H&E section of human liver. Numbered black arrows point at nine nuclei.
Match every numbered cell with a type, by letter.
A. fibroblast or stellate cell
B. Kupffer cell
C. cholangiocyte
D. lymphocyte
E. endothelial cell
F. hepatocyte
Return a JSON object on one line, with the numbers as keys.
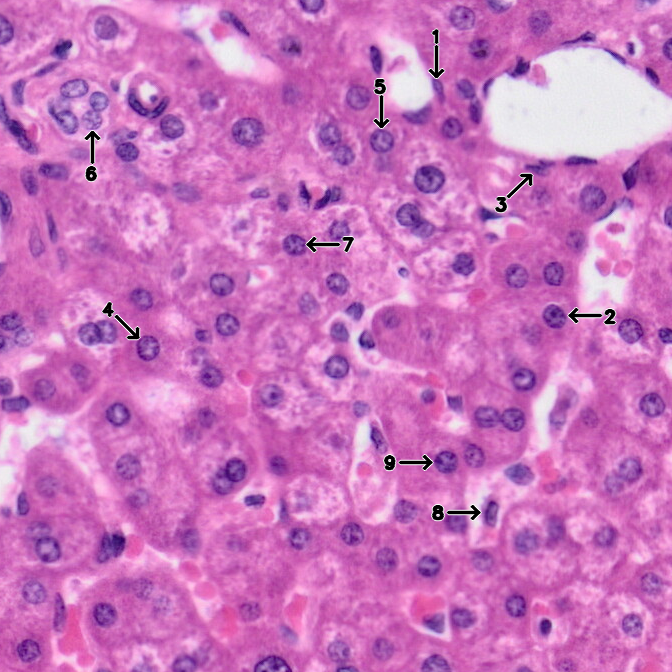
{"1": "A", "2": "F", "3": "A", "4": "F", "5": "F", "6": "C", "7": "F", "8": "B", "9": "F"}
